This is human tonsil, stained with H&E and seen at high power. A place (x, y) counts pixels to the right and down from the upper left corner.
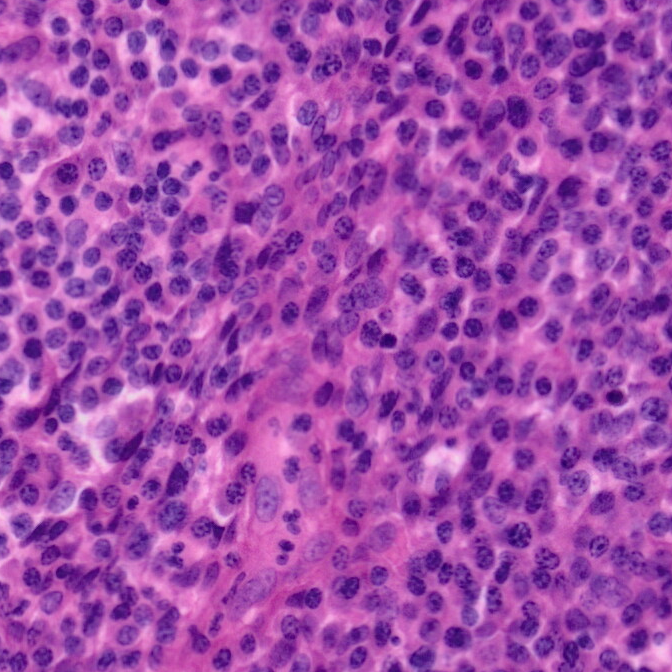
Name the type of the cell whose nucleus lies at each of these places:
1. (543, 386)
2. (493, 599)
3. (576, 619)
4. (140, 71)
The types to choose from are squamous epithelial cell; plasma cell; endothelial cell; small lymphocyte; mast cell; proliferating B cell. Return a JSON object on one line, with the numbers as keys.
{"1": "plasma cell", "2": "plasma cell", "3": "squamous epithelial cell", "4": "plasma cell"}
